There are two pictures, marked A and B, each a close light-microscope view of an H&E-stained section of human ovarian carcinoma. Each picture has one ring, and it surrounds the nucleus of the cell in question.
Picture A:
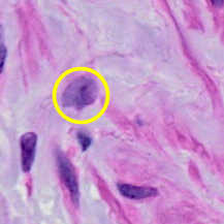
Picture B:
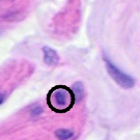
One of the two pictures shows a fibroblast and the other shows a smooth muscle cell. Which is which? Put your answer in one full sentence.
Picture A shows a fibroblast and picture B shows a smooth muscle cell.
